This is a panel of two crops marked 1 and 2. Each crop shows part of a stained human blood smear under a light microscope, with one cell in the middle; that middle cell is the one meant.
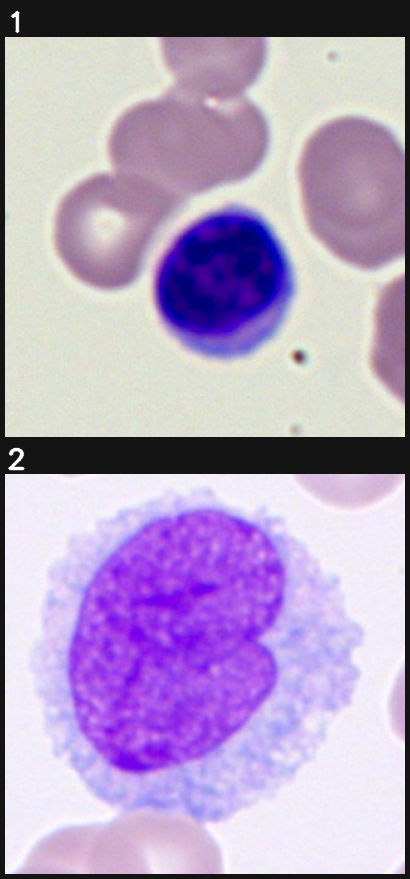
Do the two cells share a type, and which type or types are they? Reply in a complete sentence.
No: a lymphocyte sits in crop 1, and a monocyte sits in crop 2.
